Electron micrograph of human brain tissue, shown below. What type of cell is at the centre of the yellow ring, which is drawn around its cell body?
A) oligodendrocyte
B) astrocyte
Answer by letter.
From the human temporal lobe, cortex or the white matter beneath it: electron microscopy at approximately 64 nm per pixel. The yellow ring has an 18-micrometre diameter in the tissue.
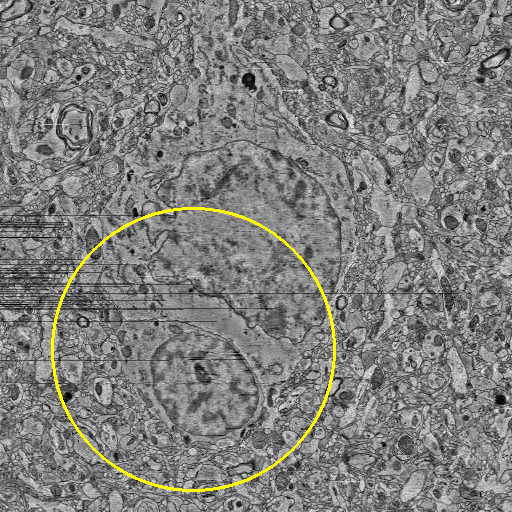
A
